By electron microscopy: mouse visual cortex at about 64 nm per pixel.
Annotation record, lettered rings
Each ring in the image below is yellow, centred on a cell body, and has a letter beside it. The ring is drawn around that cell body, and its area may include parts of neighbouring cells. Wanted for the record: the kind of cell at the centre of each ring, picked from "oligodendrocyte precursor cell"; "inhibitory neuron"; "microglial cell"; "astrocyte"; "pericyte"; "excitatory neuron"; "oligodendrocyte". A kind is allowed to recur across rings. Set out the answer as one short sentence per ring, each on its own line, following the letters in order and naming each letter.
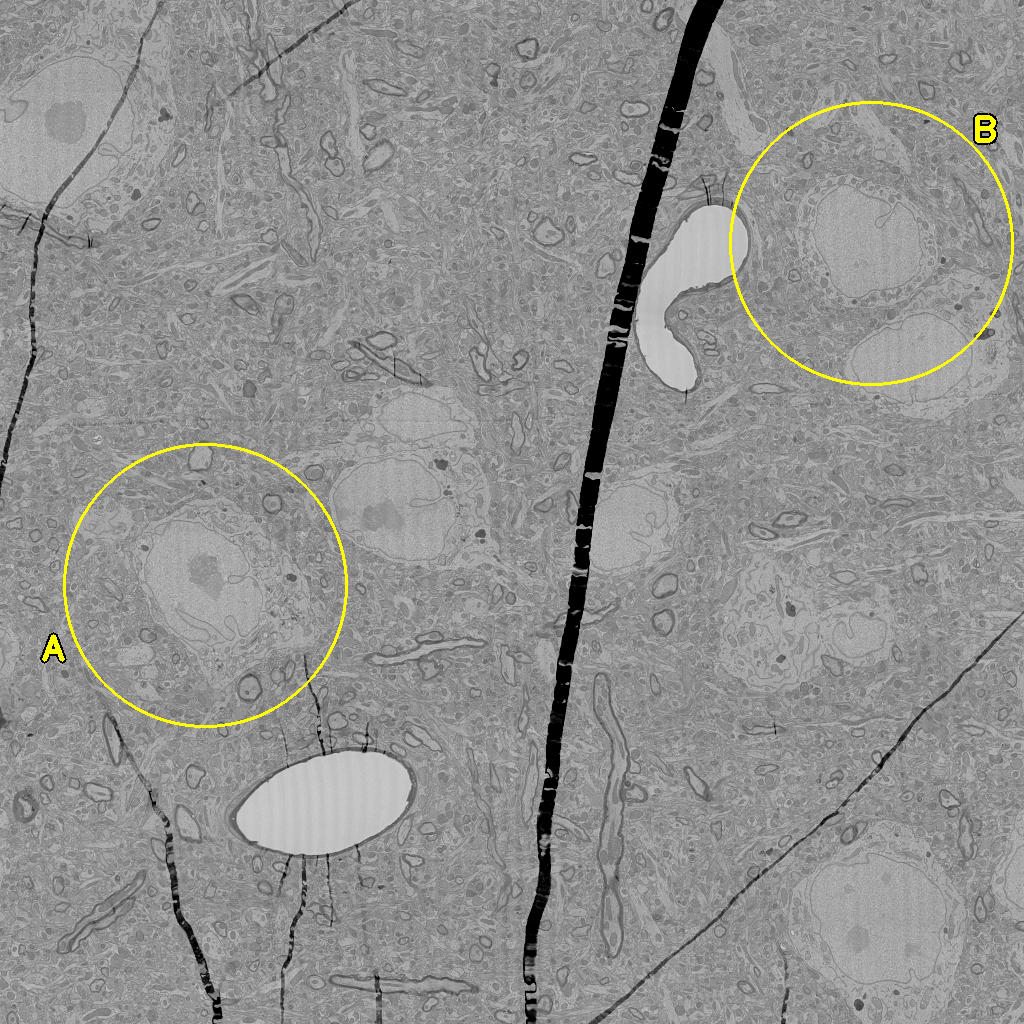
Ring A was drawn on an inhibitory neuron.
Ring B was drawn on an inhibitory neuron.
